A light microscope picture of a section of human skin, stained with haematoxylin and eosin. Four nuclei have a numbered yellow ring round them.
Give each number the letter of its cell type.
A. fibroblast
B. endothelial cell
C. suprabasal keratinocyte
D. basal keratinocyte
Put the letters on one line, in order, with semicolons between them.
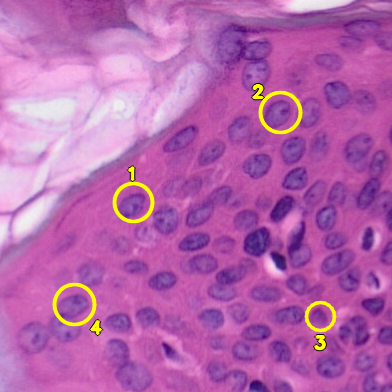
C; C; D; C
